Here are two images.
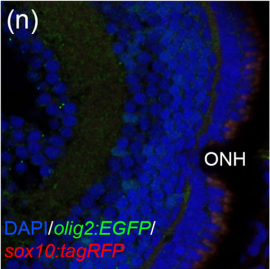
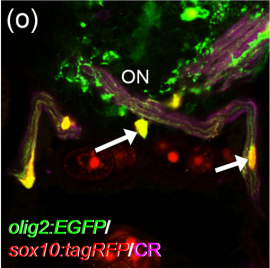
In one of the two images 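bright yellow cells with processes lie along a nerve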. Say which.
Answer: The second image.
